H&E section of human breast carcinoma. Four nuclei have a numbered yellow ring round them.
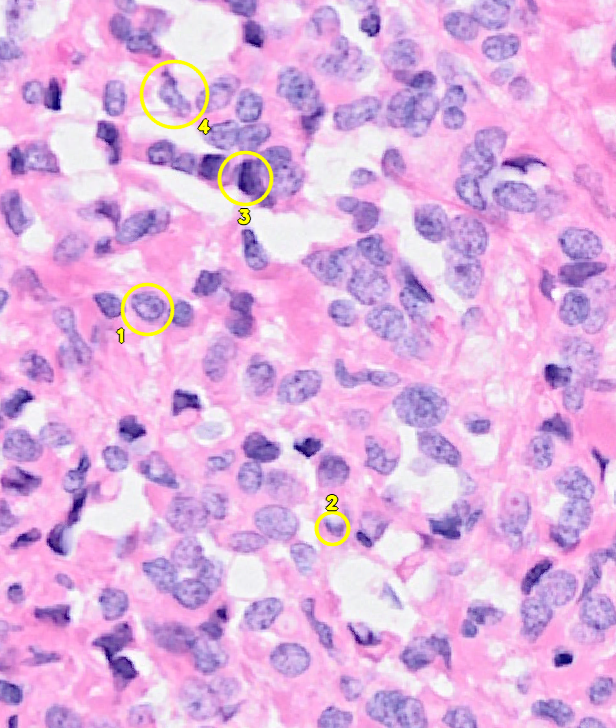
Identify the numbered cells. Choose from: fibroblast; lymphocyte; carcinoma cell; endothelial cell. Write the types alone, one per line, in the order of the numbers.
carcinoma cell
endothelial cell
carcinoma cell
carcinoma cell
